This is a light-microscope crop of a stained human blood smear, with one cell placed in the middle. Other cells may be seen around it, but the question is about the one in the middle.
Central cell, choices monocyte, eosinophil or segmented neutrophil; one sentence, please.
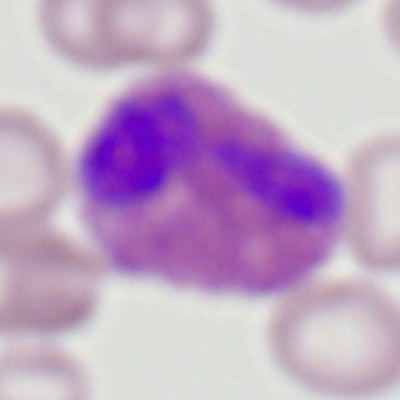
In short, the cell at the center is an eosinophil.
